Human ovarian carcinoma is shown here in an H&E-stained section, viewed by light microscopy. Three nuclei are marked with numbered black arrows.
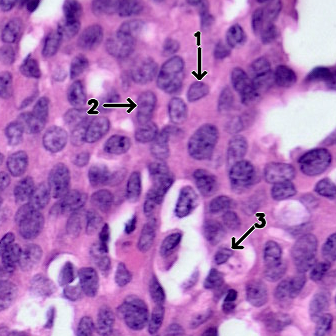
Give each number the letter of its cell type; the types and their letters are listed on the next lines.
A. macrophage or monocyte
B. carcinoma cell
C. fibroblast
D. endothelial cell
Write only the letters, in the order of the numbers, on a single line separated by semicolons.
A; B; A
